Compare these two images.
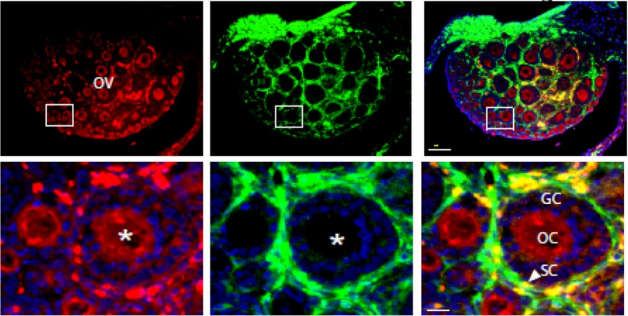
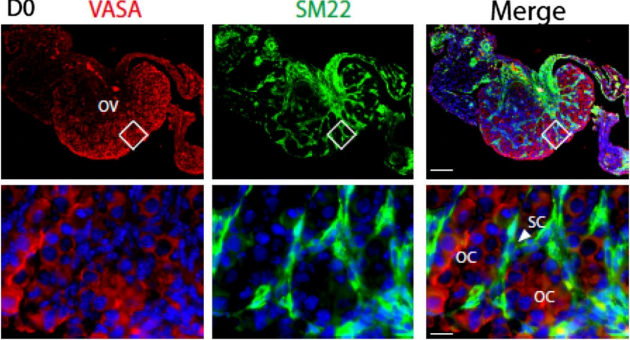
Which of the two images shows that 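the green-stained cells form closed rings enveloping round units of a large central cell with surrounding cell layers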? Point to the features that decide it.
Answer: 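First image: green strands form continuous rings around each follicle-like unit. Second image: green strands run as irregular strips between clusters of red cells without enclosing single units.
The first image.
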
